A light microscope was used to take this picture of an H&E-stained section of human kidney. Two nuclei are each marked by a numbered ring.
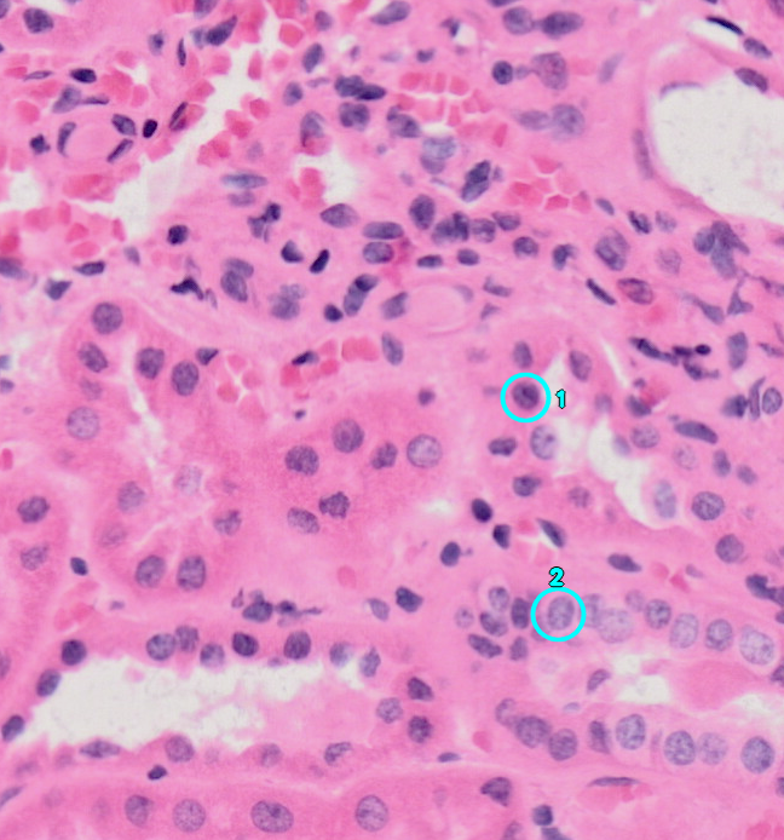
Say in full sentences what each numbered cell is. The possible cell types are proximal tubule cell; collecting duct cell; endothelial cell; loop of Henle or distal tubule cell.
Cell 1 is a loop of Henle or distal tubule cell. Cell 2 is a collecting duct cell.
